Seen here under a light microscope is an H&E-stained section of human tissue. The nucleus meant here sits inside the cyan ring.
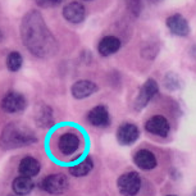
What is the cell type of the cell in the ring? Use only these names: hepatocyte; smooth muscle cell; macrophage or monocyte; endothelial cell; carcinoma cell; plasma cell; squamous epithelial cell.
plasma cell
